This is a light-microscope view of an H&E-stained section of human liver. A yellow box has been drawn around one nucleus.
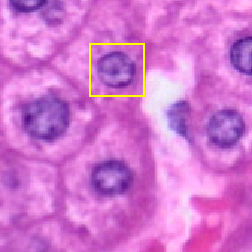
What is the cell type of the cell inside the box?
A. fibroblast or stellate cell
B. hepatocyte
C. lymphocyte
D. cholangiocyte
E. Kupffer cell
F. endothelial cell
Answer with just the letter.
B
